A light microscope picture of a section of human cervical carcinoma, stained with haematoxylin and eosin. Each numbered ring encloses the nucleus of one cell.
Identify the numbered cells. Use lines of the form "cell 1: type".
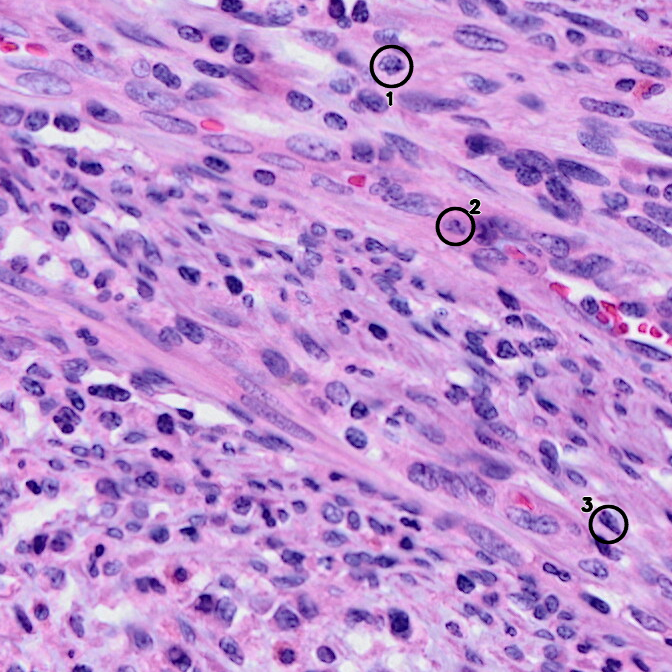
cell 1: lymphocyte
cell 2: endothelial cell
cell 3: lymphocyte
